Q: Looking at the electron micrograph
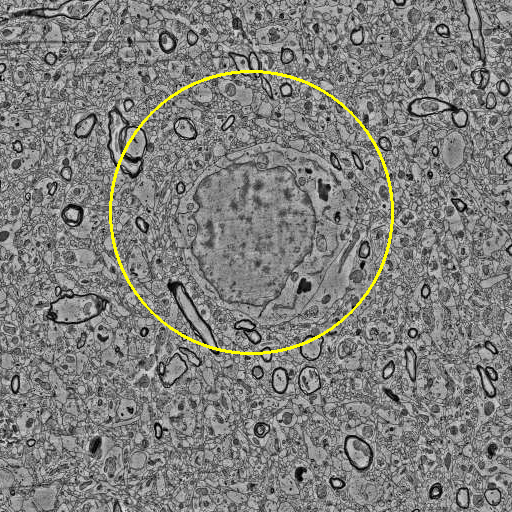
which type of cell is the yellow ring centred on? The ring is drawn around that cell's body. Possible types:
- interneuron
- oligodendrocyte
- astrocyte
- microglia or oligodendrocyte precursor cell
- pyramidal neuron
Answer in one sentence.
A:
The yellow ring is centred on an interneuron.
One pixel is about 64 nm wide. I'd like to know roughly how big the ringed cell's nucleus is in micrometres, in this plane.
The ringed cell's nucleus is about 9 micrometres across in this plane.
